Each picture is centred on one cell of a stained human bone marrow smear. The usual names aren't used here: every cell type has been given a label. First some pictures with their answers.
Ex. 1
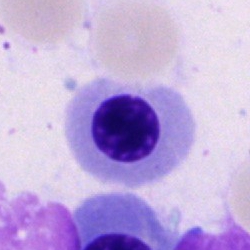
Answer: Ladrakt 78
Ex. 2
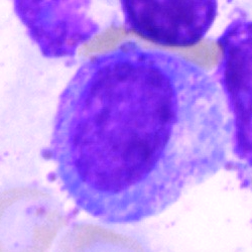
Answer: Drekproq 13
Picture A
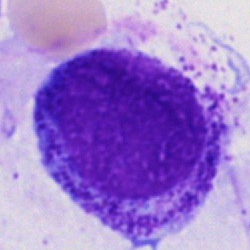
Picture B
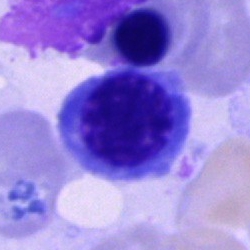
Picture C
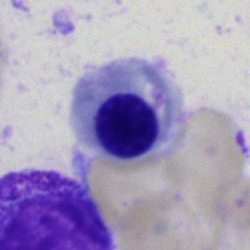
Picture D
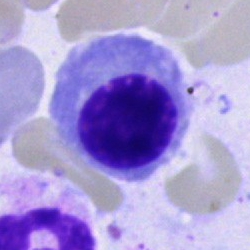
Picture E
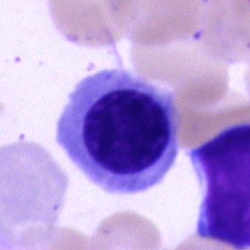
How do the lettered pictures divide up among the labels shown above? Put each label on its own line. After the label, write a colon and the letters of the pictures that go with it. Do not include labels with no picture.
Ladrakt 78: B, C, D, E
Drekproq 13: A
